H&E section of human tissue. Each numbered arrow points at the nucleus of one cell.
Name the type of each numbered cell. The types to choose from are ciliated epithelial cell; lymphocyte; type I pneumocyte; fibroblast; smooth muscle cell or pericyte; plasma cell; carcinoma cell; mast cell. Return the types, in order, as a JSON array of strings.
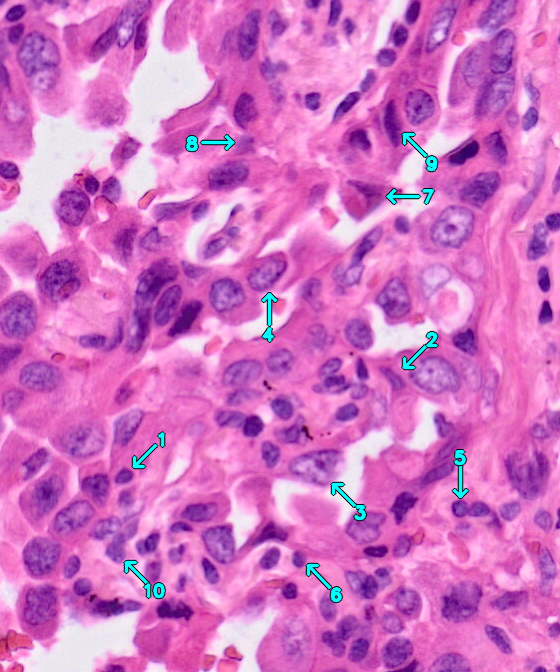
["lymphocyte", "carcinoma cell", "carcinoma cell", "carcinoma cell", "mast cell", "lymphocyte", "carcinoma cell", "carcinoma cell", "carcinoma cell", "lymphocyte"]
